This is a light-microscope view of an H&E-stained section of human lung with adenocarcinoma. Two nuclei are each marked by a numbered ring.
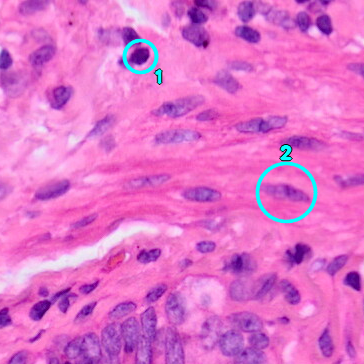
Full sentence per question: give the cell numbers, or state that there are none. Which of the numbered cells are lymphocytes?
Of all the numbered cells, only one is a lymphocyte, and that is cell 1.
